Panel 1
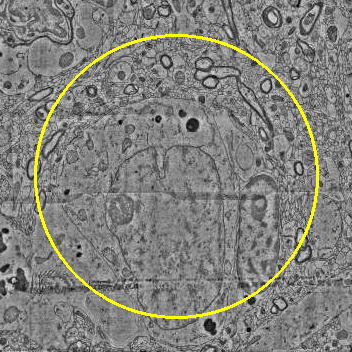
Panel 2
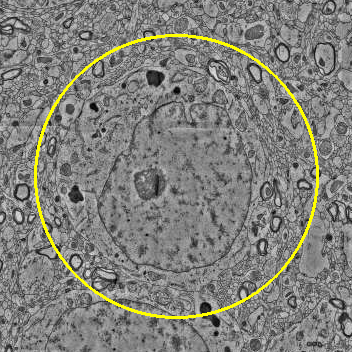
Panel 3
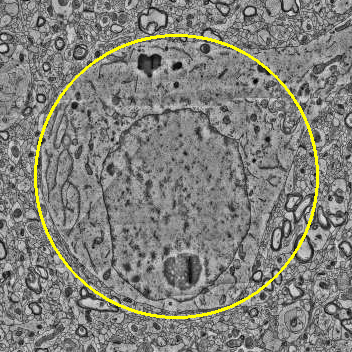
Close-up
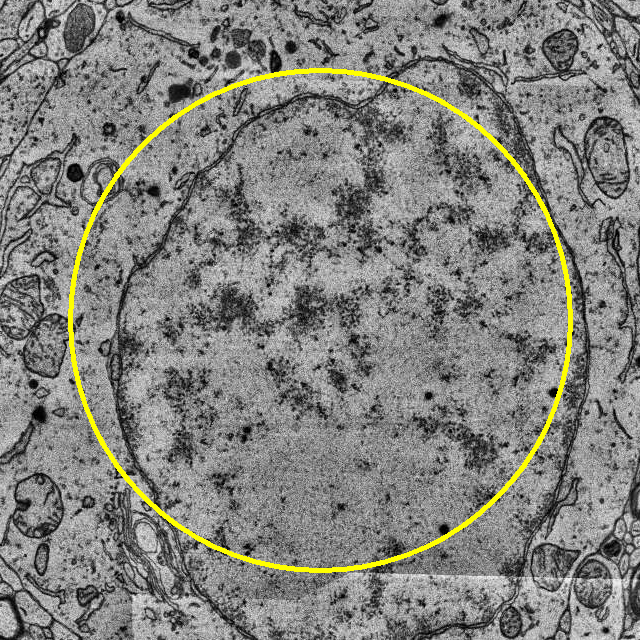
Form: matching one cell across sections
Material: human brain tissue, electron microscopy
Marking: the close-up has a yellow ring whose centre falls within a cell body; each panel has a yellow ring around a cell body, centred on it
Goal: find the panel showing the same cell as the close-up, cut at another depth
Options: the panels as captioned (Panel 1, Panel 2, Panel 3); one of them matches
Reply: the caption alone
Panel 2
